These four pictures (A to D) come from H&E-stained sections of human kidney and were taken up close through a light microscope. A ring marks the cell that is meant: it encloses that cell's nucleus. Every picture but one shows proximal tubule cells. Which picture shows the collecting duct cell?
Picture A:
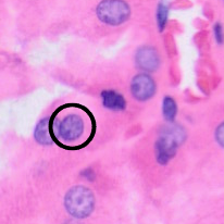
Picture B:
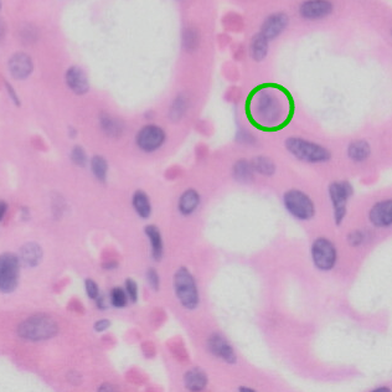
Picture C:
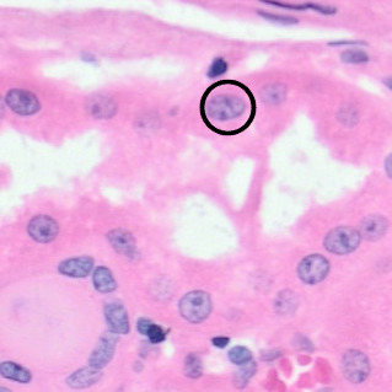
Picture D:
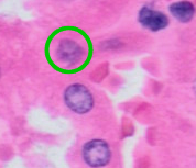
B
